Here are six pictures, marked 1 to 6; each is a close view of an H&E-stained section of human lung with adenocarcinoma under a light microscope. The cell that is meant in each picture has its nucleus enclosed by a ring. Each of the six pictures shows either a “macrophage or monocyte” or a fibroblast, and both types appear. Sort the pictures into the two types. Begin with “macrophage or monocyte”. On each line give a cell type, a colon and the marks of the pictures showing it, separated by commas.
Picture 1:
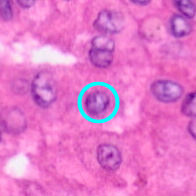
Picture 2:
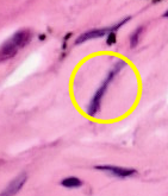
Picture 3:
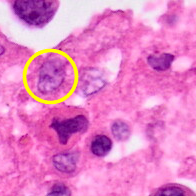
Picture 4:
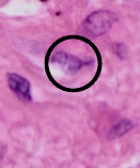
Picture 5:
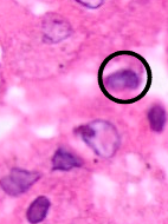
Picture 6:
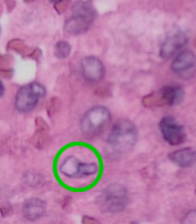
macrophage or monocyte: 1, 3, 5, 6
fibroblast: 2, 4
